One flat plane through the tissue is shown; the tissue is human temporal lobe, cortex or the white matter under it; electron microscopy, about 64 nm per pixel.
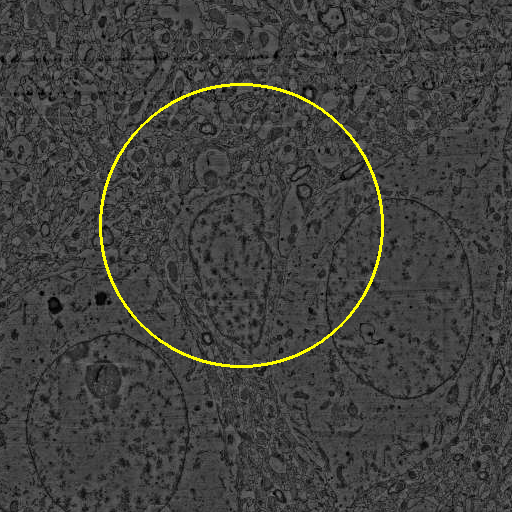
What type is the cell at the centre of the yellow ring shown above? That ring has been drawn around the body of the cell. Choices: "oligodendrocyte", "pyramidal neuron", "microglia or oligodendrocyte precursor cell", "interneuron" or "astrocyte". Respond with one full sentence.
My answer is that an interneuron lies at the centre of the yellow ring above.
